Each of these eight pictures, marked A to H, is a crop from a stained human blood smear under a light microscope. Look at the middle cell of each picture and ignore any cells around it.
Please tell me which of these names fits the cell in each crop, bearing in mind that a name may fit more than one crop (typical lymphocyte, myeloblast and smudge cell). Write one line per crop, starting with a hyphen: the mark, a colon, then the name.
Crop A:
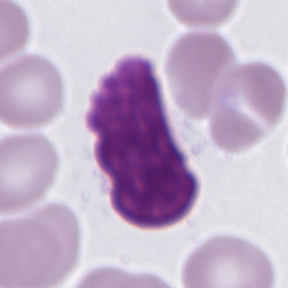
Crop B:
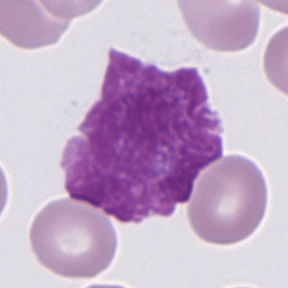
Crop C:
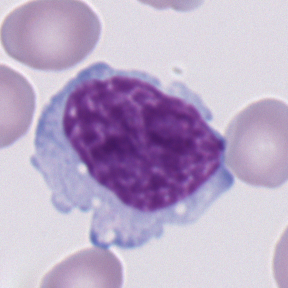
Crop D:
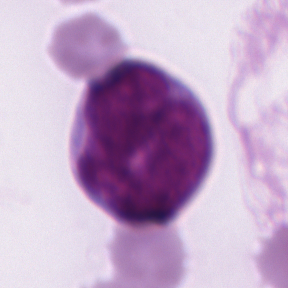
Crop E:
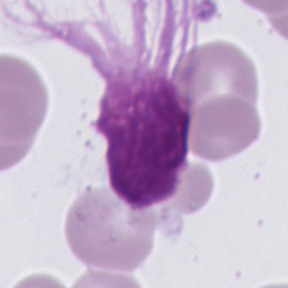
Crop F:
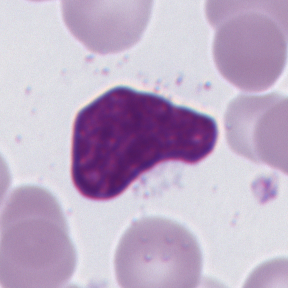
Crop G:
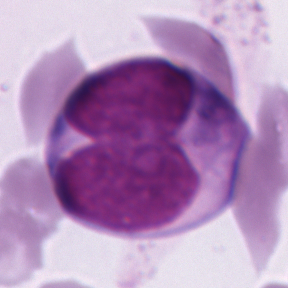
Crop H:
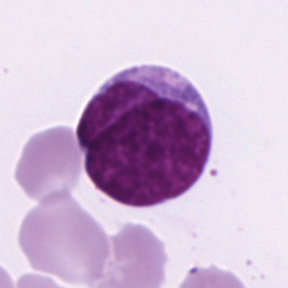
- A: smudge cell
- B: smudge cell
- C: myeloblast
- D: myeloblast
- E: smudge cell
- F: smudge cell
- G: myeloblast
- H: myeloblast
